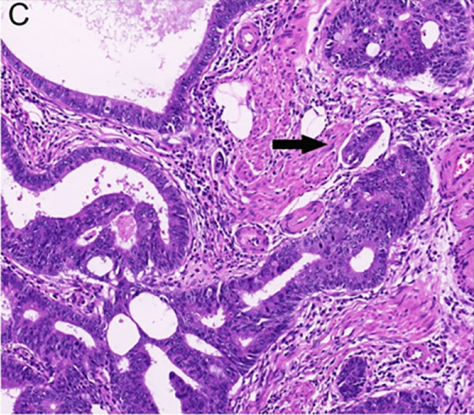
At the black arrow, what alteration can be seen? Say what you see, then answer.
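Lymphovascular invasion. The arrow points to a small thin-walled space within the pink stroma. A small cluster of epithelial cells lies within that space. Malignant glands surround the stroma.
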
